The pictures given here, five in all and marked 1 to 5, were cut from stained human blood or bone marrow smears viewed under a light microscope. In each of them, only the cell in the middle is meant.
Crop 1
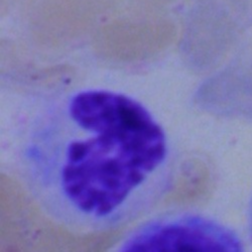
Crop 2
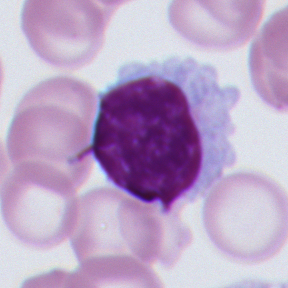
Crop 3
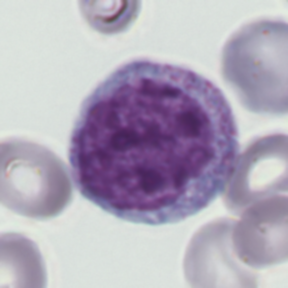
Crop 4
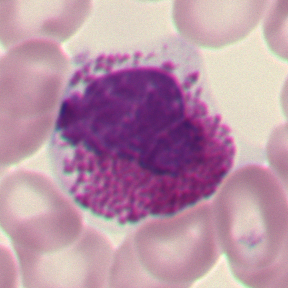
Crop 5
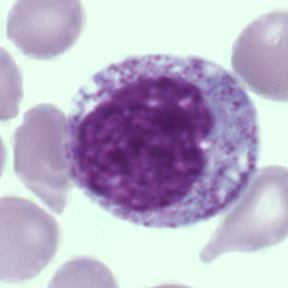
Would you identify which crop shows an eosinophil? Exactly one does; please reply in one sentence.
Crop 4 is the crop in which an eosinophil is shown.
